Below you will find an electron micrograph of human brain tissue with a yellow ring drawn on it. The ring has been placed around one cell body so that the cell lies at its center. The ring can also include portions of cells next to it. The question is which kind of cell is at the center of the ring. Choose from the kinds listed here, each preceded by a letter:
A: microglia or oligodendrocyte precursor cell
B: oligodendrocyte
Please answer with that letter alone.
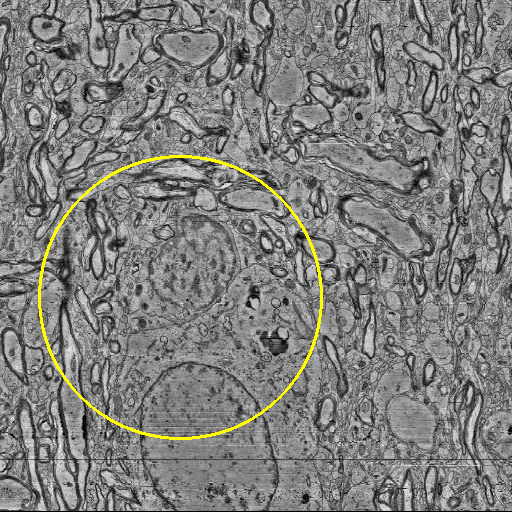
B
